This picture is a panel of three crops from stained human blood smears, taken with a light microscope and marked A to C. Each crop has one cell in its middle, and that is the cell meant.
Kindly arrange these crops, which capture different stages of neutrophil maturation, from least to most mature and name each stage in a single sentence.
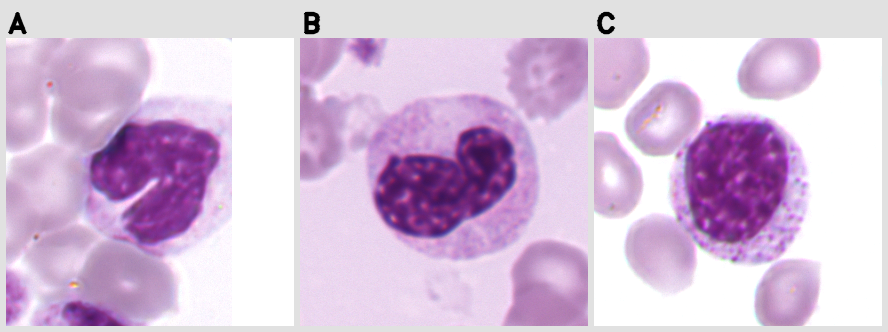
Along the maturation pathway, from earliest to latest, the order is crop C (a metamyelocyte), crop A (a band neutrophil) and crop B (a segmented neutrophil).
